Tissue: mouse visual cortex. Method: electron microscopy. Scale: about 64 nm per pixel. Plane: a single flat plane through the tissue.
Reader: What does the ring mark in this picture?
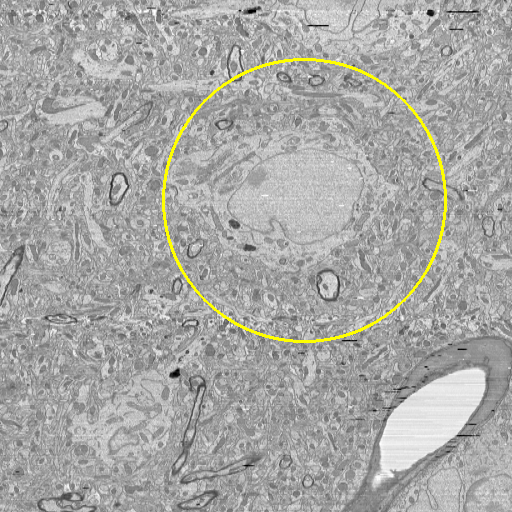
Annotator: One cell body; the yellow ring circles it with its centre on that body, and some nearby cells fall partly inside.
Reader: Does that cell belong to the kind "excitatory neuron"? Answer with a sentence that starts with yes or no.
Yes, in this picture the ringed cell at the centre belongs to that kind.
